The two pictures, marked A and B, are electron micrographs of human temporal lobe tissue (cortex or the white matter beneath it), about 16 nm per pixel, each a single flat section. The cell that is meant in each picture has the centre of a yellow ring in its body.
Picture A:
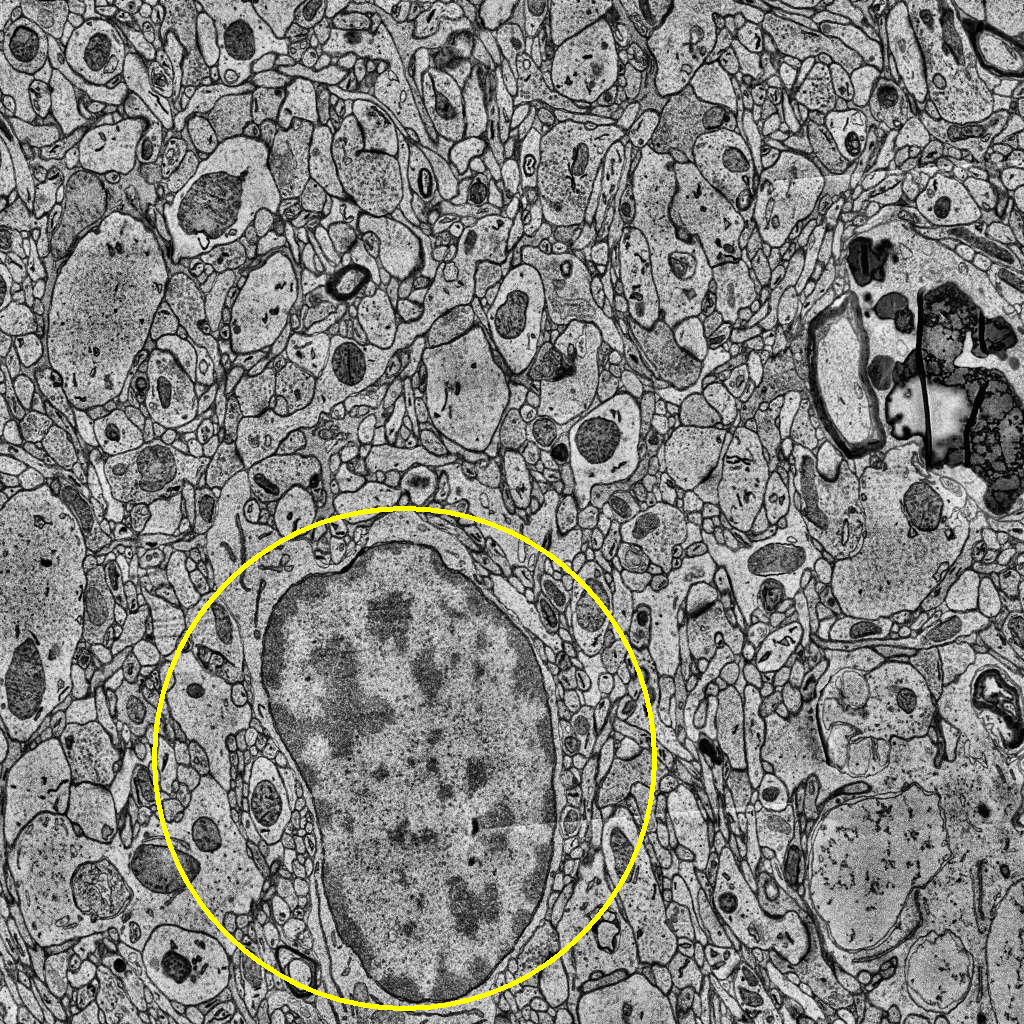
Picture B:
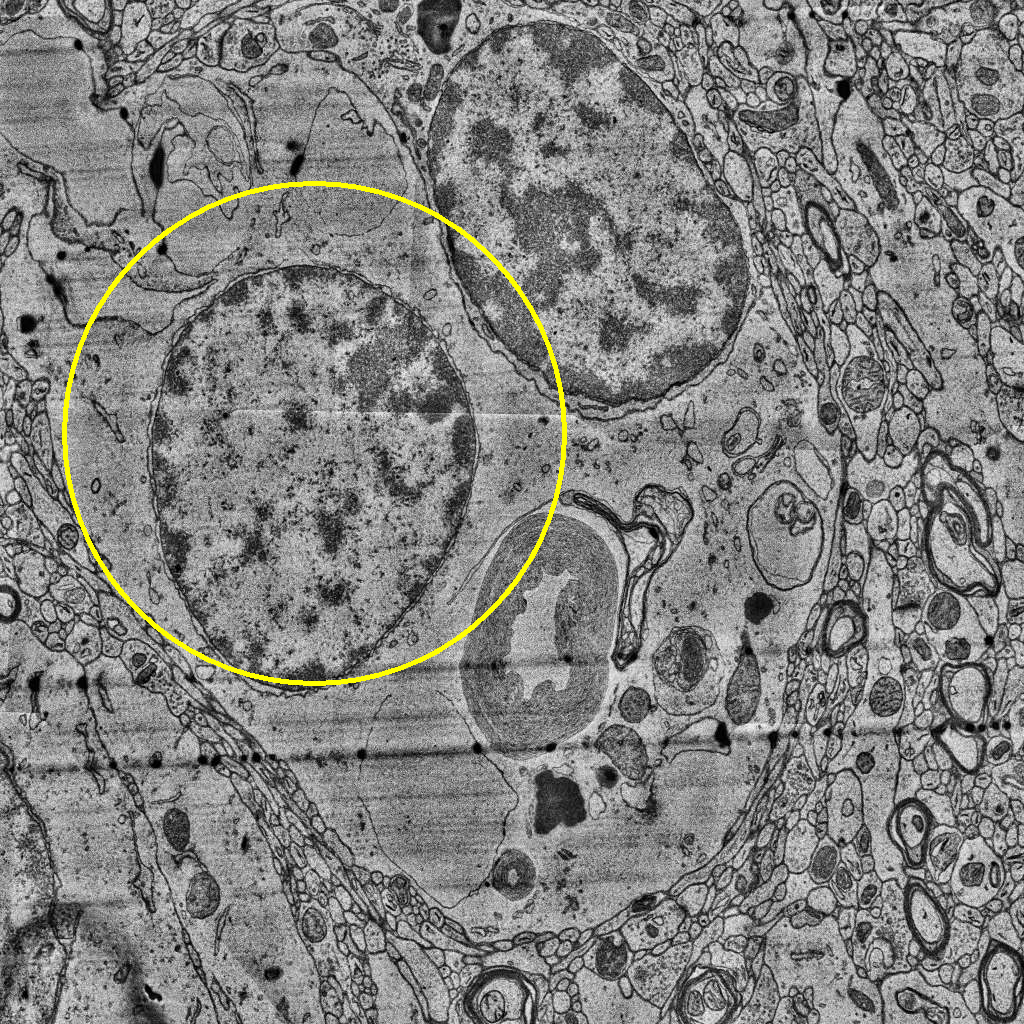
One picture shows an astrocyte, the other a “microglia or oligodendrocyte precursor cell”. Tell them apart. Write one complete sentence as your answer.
It is picture A that shows a “microglia or oligodendrocyte precursor cell”, and picture B that shows an astrocyte.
